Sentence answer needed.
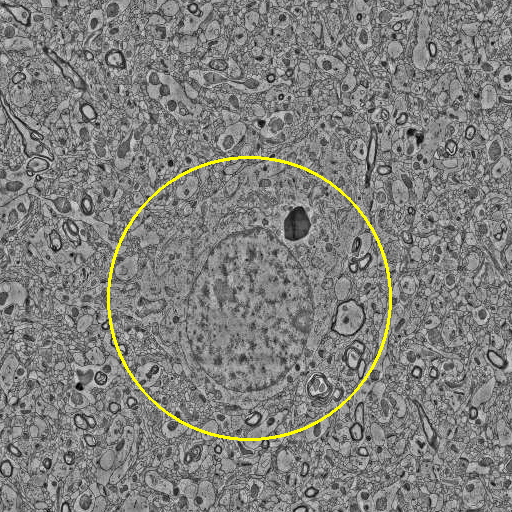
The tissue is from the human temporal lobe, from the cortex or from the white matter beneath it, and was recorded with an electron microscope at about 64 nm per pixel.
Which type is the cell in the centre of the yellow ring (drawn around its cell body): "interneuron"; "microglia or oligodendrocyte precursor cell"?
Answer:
In the centre of the yellow ring is an interneuron.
